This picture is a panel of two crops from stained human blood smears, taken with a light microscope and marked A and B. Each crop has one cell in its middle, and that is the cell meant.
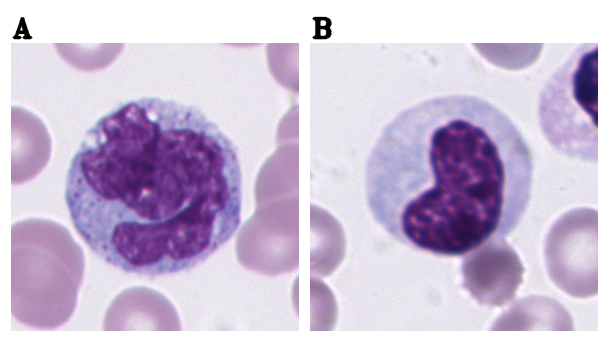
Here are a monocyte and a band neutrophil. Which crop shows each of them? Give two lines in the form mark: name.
A: monocyte
B: band neutrophil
